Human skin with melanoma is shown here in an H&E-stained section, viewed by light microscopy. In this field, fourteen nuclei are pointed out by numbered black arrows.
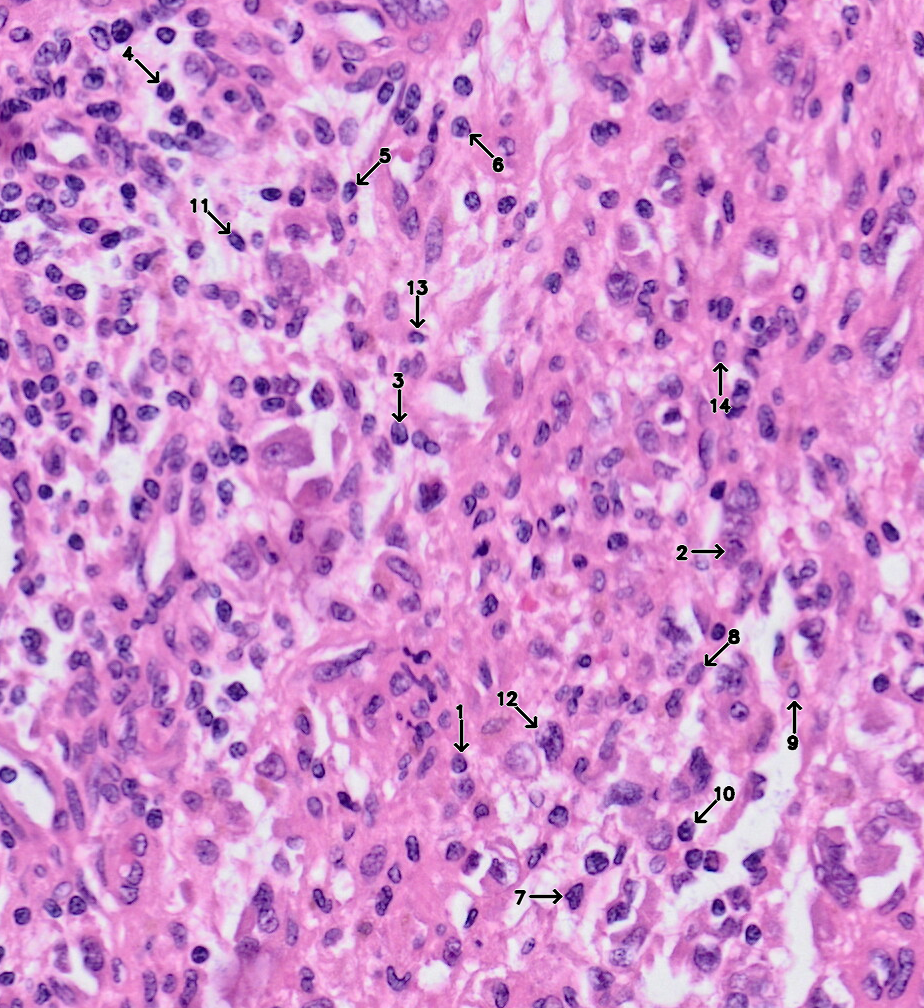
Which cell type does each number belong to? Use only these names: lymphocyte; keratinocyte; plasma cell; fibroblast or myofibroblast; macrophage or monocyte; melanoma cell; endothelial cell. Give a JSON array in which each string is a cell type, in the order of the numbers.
["lymphocyte", "melanoma cell", "lymphocyte", "lymphocyte", "lymphocyte", "lymphocyte", "macrophage or monocyte", "macrophage or monocyte", "macrophage or monocyte", "lymphocyte", "lymphocyte", "melanoma cell", "lymphocyte", "macrophage or monocyte"]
